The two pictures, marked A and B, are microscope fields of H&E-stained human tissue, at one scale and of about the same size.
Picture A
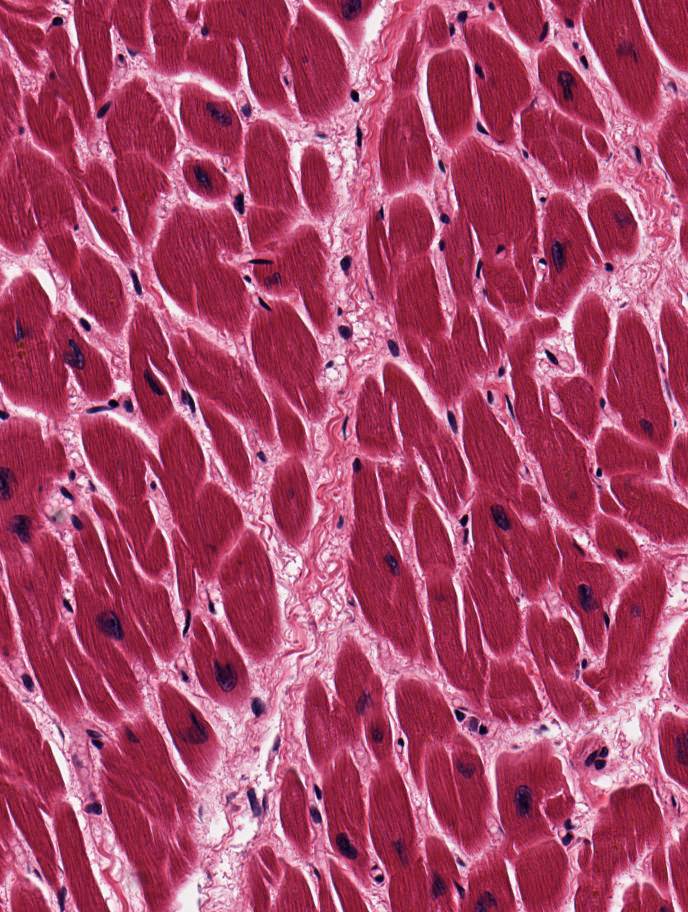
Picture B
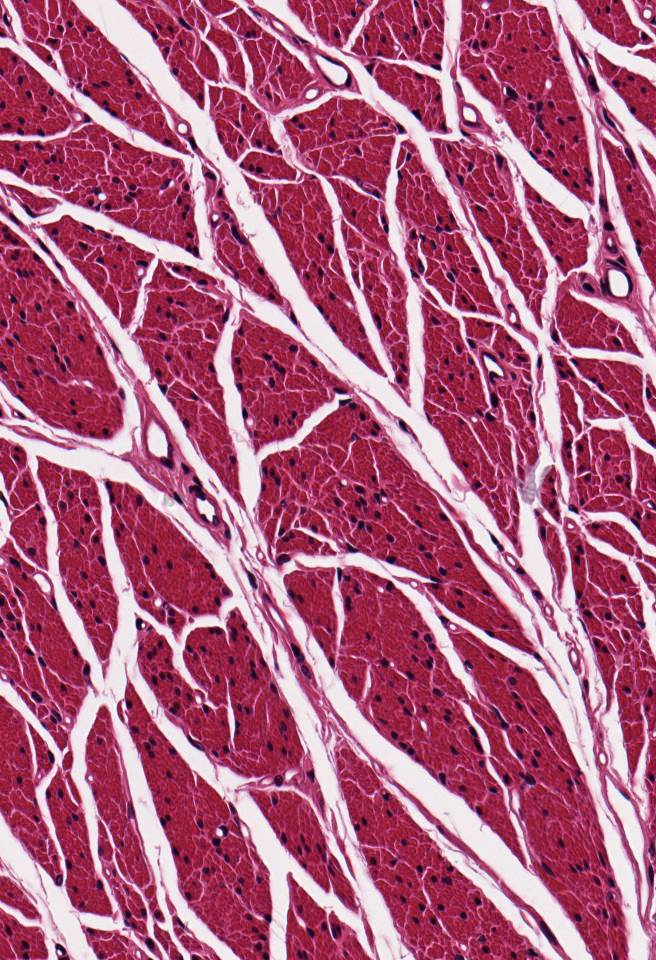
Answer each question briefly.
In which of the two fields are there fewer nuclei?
A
